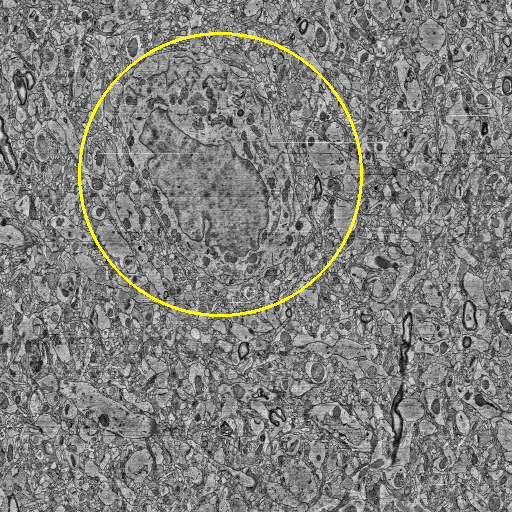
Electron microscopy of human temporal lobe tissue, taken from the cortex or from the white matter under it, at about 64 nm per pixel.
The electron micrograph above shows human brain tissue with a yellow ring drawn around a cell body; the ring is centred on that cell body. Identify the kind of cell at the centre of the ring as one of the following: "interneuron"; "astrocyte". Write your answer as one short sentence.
The cell at the centre of the ring is an interneuron.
